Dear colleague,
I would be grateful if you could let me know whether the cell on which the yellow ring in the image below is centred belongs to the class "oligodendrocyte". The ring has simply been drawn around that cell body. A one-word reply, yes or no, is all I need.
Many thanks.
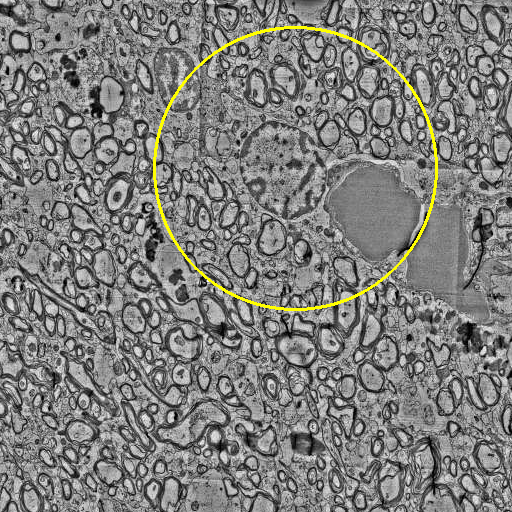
no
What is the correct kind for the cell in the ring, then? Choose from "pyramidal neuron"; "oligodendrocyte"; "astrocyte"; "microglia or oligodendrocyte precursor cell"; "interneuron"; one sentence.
The cell ringed in the picture is a microglial cell or oligodendrocyte precursor cell.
